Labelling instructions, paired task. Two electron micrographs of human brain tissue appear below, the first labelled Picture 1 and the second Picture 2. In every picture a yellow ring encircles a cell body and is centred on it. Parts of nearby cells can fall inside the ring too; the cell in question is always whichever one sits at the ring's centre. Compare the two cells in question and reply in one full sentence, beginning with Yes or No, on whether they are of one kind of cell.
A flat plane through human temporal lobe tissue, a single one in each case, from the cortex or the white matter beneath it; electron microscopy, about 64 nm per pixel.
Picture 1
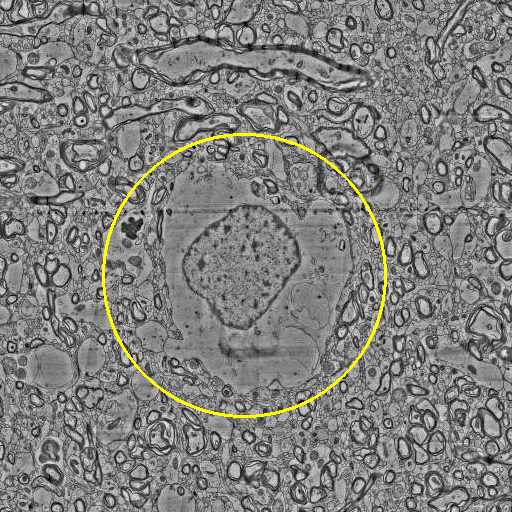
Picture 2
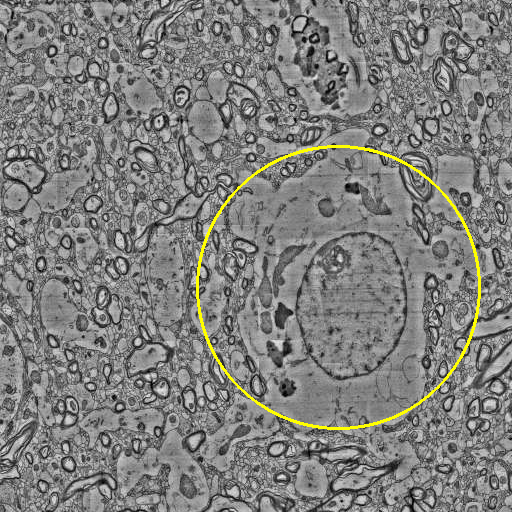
Yes, the two cells at the ring centres in Picture 1 and Picture 2 are of one kind.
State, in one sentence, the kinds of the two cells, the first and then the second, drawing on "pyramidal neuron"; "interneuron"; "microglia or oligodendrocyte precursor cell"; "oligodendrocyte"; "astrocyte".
The cell at the ring centre is an astrocyte in both pictures.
